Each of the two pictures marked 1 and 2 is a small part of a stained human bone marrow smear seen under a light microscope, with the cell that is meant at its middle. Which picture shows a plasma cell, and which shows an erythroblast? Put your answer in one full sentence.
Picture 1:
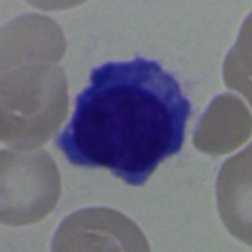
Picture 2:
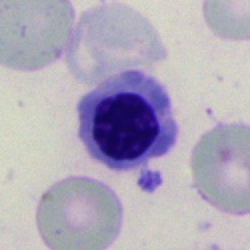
In picture 1 the cell is a plasma cell; in picture 2, an erythroblast.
